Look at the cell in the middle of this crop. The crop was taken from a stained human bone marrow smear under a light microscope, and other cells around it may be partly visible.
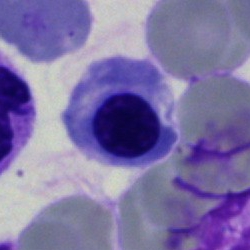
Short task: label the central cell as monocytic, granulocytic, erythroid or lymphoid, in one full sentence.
On lineage, the cell in the middle of the crop is erythroid.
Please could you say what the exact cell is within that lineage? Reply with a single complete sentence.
The cell in the middle of this crop is an erythroblast.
